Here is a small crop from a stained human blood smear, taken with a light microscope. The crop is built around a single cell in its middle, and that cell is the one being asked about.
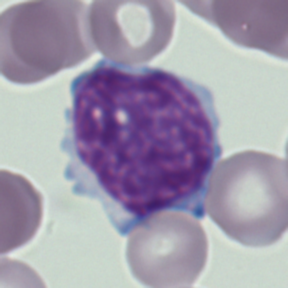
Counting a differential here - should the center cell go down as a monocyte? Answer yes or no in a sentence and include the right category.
No, the central cell does not represent a monocyte, but a blast.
